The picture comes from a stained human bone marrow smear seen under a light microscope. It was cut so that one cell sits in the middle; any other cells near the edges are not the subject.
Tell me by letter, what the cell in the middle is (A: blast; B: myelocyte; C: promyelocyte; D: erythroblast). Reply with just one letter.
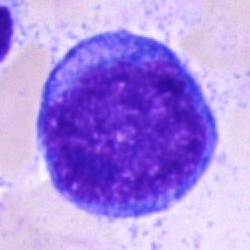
A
